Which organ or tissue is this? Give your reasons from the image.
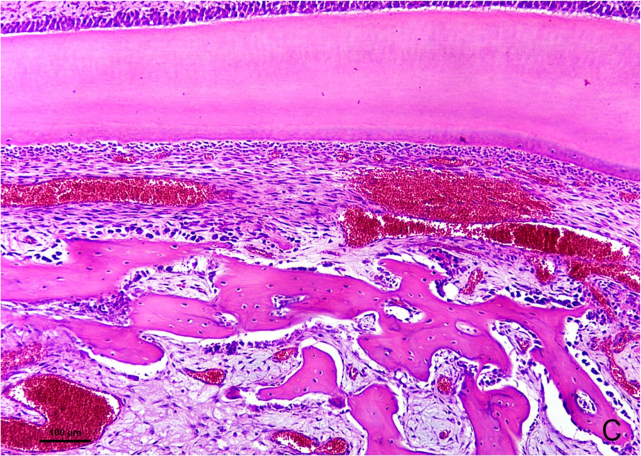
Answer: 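A band of fibrous tissue with spindle-shaped nuclei runs parallel to a broad homogeneous pink hard-tissue layer. Pink bone trabeculae lie below the fibrous band. So: Periodontal ligament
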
